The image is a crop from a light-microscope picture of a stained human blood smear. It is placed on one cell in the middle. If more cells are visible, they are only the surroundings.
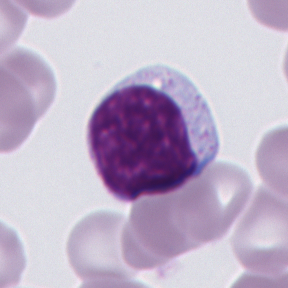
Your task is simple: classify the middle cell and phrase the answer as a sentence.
The centrally placed cell is classified as a large granular lymphocyte.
